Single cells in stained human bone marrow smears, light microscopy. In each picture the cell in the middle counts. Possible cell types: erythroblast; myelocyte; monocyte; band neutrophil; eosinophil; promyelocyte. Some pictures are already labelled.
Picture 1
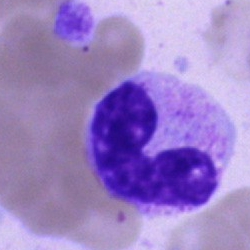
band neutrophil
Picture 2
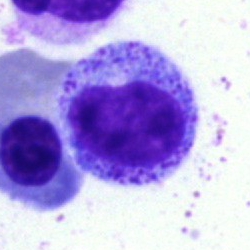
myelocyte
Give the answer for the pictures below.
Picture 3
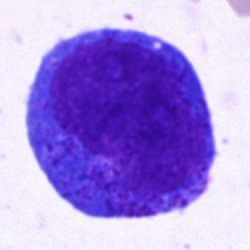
promyelocyte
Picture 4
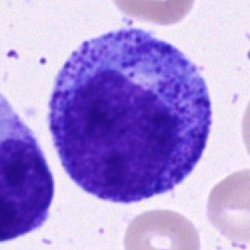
promyelocyte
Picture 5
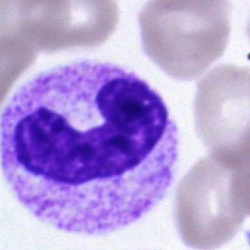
band neutrophil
